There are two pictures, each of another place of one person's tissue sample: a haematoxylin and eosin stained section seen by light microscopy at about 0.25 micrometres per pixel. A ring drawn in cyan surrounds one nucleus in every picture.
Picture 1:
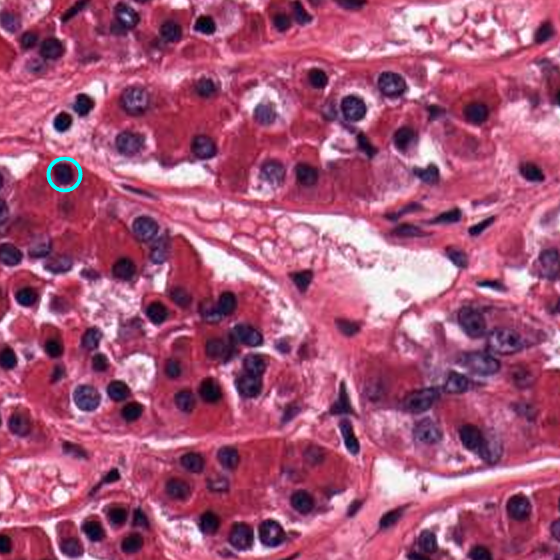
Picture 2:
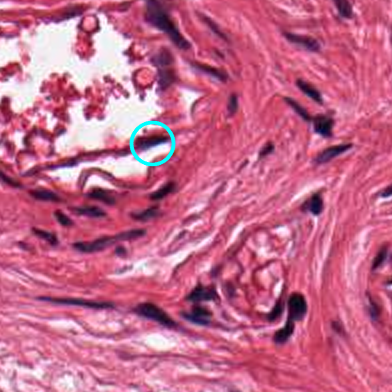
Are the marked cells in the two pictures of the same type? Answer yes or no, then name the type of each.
No, the first is an anterior pituitary cell and the second an endothelial cell.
